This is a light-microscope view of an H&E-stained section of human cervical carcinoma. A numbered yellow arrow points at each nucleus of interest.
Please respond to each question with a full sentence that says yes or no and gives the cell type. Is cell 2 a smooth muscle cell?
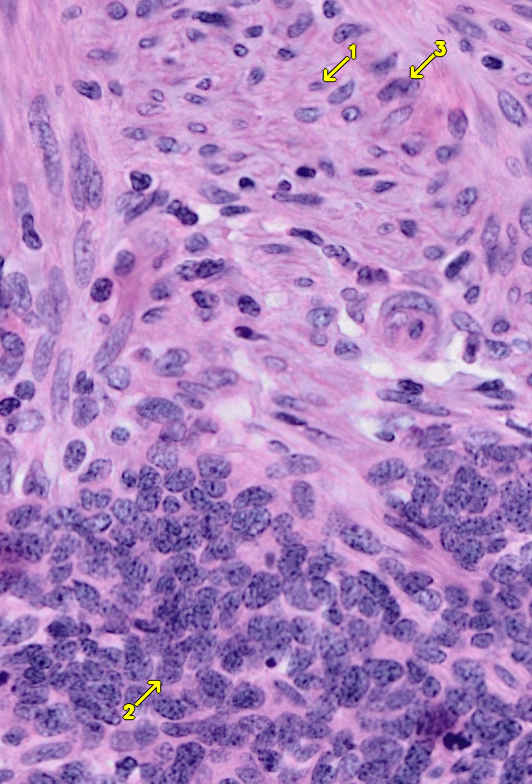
No, for cell 2, the correct identification is a squamous carcinoma cell instead of a smooth muscle cell.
